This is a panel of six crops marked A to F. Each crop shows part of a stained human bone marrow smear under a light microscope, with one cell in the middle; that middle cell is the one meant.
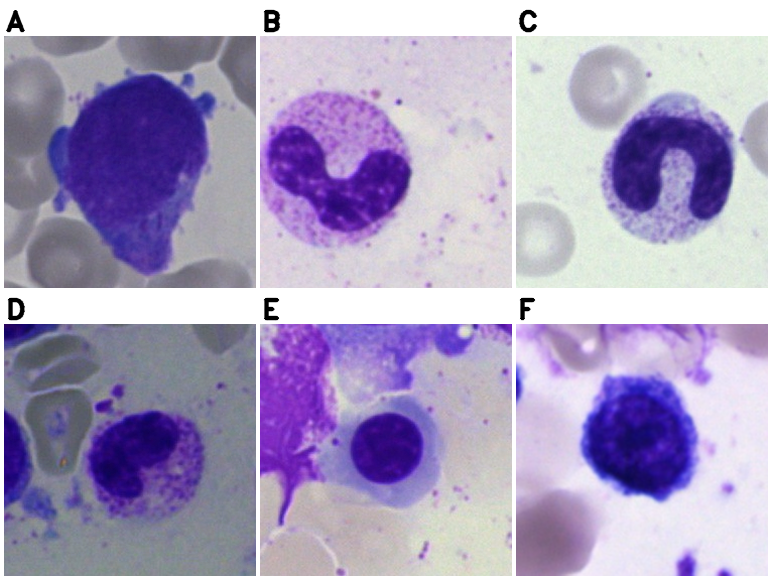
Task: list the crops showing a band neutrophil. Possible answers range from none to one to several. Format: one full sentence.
As for crops B, C and D, they show band neutrophils.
